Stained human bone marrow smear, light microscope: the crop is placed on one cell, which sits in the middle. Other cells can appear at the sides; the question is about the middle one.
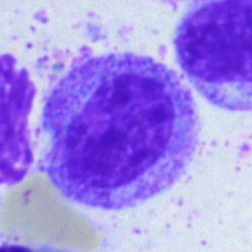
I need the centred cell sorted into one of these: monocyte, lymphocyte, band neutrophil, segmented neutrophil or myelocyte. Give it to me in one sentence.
In the centre of this crop there is a myelocyte.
